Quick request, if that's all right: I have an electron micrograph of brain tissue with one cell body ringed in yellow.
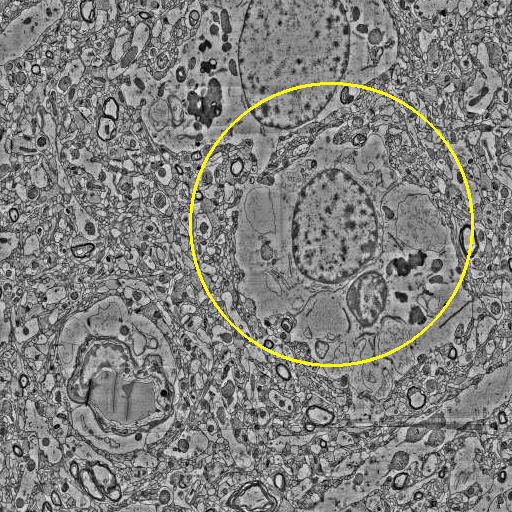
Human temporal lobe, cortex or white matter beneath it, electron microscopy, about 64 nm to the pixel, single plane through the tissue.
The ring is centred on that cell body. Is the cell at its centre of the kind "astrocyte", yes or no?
yes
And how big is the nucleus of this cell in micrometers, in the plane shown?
The nucleus appears roughly 7 by 6 micrometres in this plane.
